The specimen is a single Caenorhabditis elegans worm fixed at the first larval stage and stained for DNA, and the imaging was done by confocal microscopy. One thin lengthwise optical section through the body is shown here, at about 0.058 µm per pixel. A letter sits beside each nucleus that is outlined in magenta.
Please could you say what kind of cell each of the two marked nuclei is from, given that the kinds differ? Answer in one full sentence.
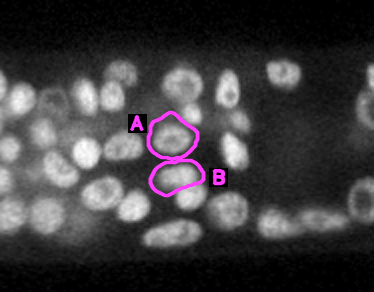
A is the nucleus of a pharyngeal muscle cell; B is the nucleus of a pharyngeal marginal cell.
